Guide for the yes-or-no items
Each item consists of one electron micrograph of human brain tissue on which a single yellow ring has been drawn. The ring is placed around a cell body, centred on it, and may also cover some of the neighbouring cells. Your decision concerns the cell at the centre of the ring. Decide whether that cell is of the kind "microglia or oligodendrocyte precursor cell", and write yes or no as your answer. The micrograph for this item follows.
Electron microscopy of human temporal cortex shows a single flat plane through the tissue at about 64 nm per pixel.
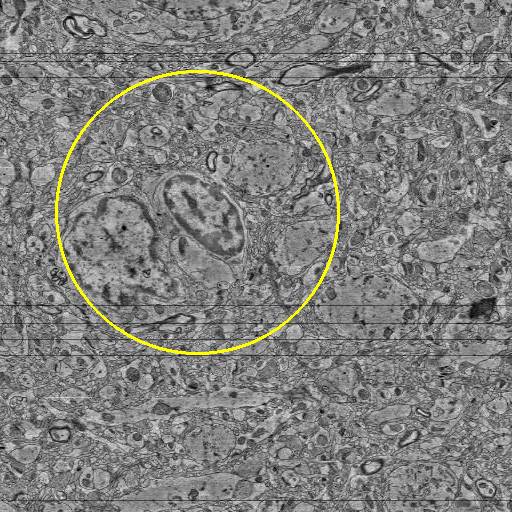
yes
